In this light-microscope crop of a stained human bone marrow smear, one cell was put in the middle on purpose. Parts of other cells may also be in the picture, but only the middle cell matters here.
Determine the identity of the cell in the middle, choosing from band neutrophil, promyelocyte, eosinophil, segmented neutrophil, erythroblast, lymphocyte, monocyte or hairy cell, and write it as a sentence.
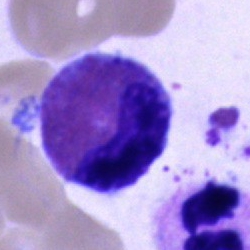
In the middle of this smear crop is an eosinophil.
